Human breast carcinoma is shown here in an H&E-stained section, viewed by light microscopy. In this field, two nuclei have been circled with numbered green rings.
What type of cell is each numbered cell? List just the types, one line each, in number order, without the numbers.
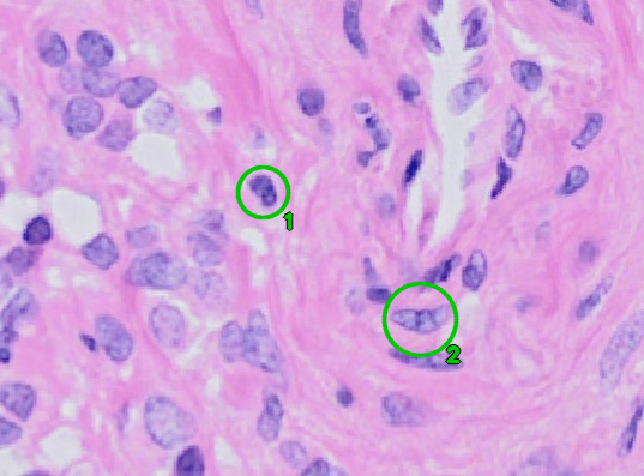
lymphocyte
endothelial cell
